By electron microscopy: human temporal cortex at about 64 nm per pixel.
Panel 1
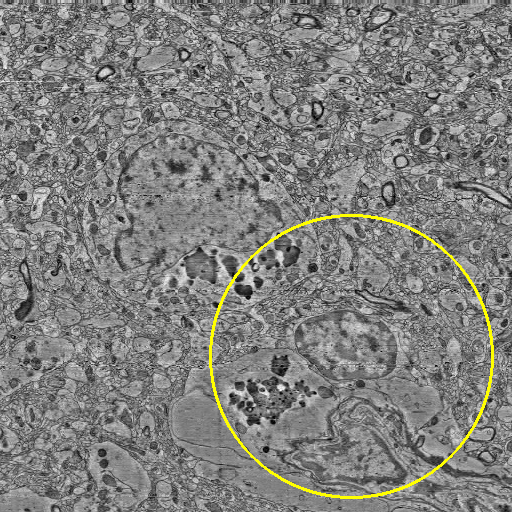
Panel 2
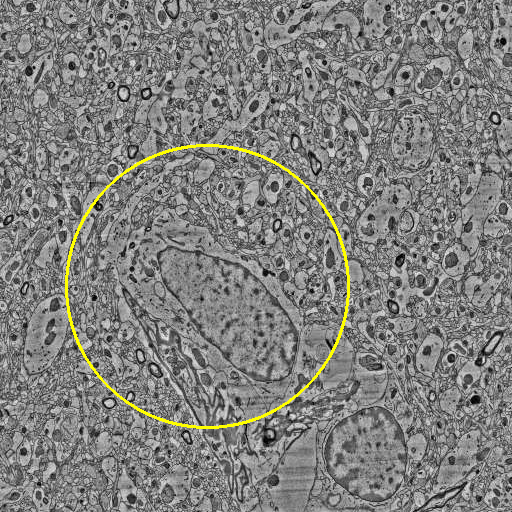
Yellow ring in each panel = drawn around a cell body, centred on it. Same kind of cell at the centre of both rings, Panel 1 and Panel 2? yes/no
yes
